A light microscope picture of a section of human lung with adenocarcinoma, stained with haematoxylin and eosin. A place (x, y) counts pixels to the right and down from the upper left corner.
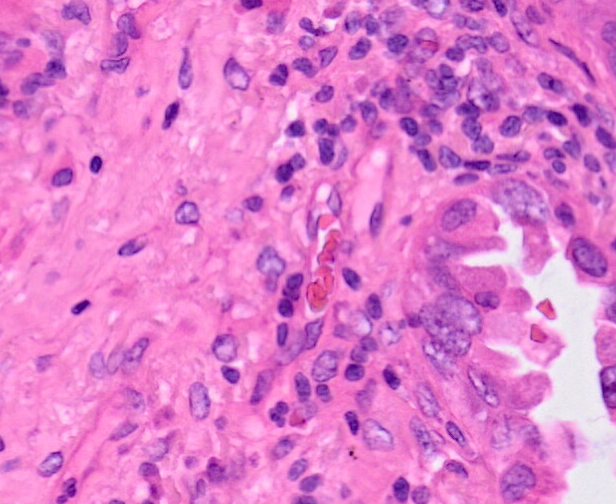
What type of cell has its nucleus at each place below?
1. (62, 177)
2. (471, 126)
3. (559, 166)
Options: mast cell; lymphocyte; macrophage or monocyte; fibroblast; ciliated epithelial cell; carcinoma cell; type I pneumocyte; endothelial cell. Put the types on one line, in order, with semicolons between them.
mast cell; lymphocyte; lymphocyte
